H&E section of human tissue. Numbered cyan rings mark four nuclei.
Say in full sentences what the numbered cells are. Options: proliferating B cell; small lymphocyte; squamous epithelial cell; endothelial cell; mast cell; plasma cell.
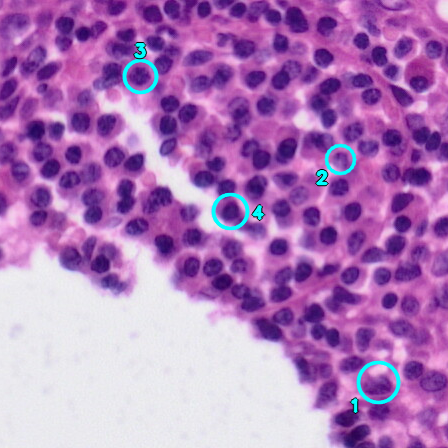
Cell 1 is a squamous epithelial cell, cell 2 is a plasma cell, cell 3 is a plasma cell and cell 4 is a plasma cell.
